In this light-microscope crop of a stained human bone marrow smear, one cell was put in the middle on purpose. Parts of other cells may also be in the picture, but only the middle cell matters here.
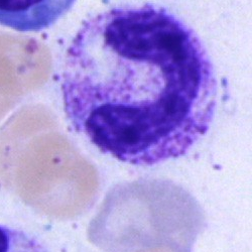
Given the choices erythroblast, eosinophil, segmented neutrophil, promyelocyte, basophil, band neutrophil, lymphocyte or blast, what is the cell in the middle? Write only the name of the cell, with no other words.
band neutrophil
